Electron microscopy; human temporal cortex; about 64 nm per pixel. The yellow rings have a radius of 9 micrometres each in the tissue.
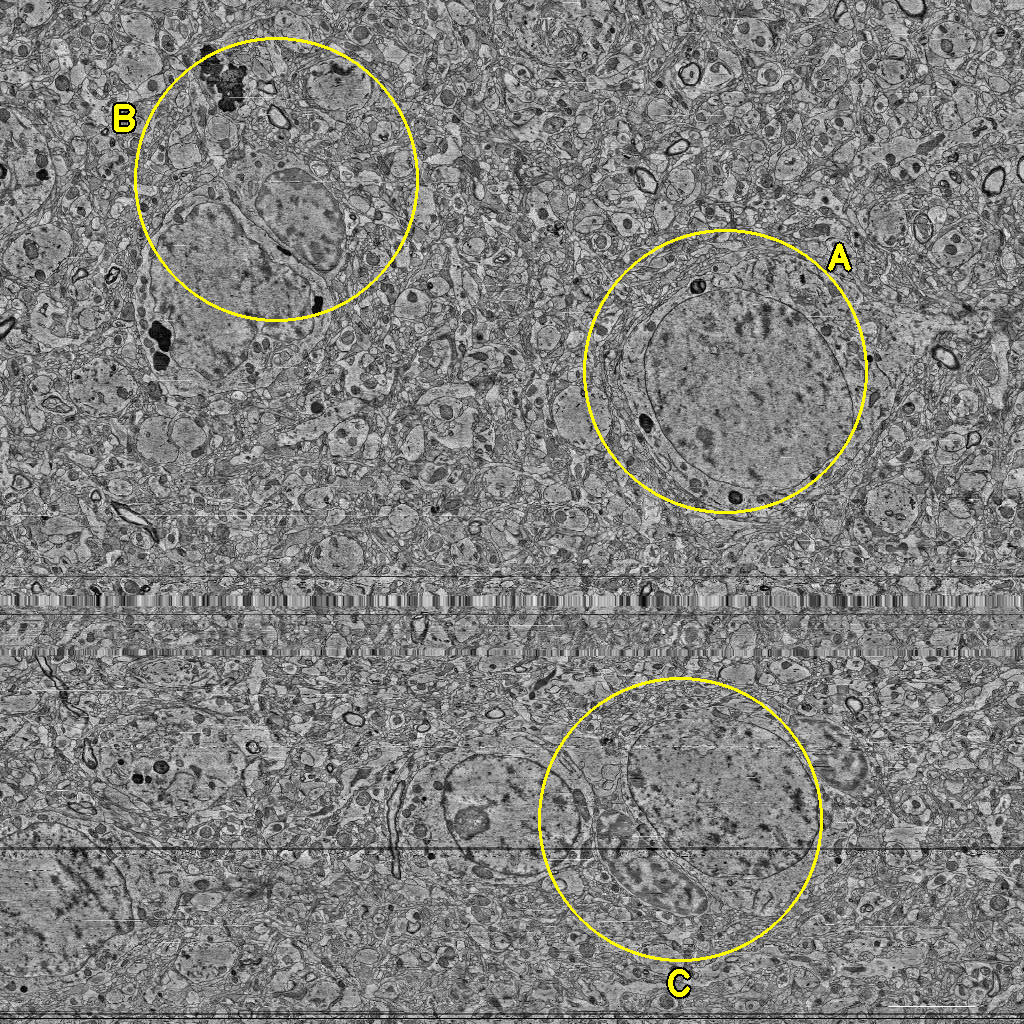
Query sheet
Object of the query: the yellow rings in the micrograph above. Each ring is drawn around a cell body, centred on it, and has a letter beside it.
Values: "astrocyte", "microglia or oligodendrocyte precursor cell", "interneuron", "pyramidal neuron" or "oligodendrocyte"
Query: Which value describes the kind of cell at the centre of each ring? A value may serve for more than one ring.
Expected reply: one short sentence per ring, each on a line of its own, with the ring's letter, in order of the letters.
I assign a pyramidal neuron to ring A.
I assign an oligodendrocyte to ring B.
I assign a pyramidal neuron to ring C.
